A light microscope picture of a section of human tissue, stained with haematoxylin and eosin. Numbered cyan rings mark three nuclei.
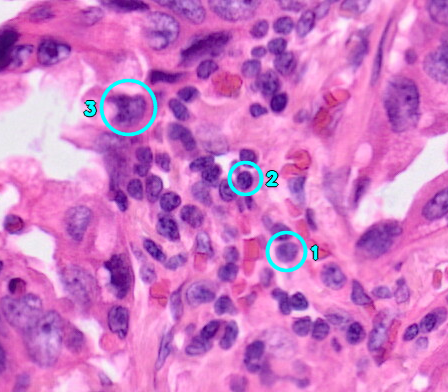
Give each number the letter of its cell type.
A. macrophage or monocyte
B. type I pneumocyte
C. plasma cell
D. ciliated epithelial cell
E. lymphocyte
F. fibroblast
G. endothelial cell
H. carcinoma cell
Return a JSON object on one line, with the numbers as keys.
{"1": "E", "2": "E", "3": "H"}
